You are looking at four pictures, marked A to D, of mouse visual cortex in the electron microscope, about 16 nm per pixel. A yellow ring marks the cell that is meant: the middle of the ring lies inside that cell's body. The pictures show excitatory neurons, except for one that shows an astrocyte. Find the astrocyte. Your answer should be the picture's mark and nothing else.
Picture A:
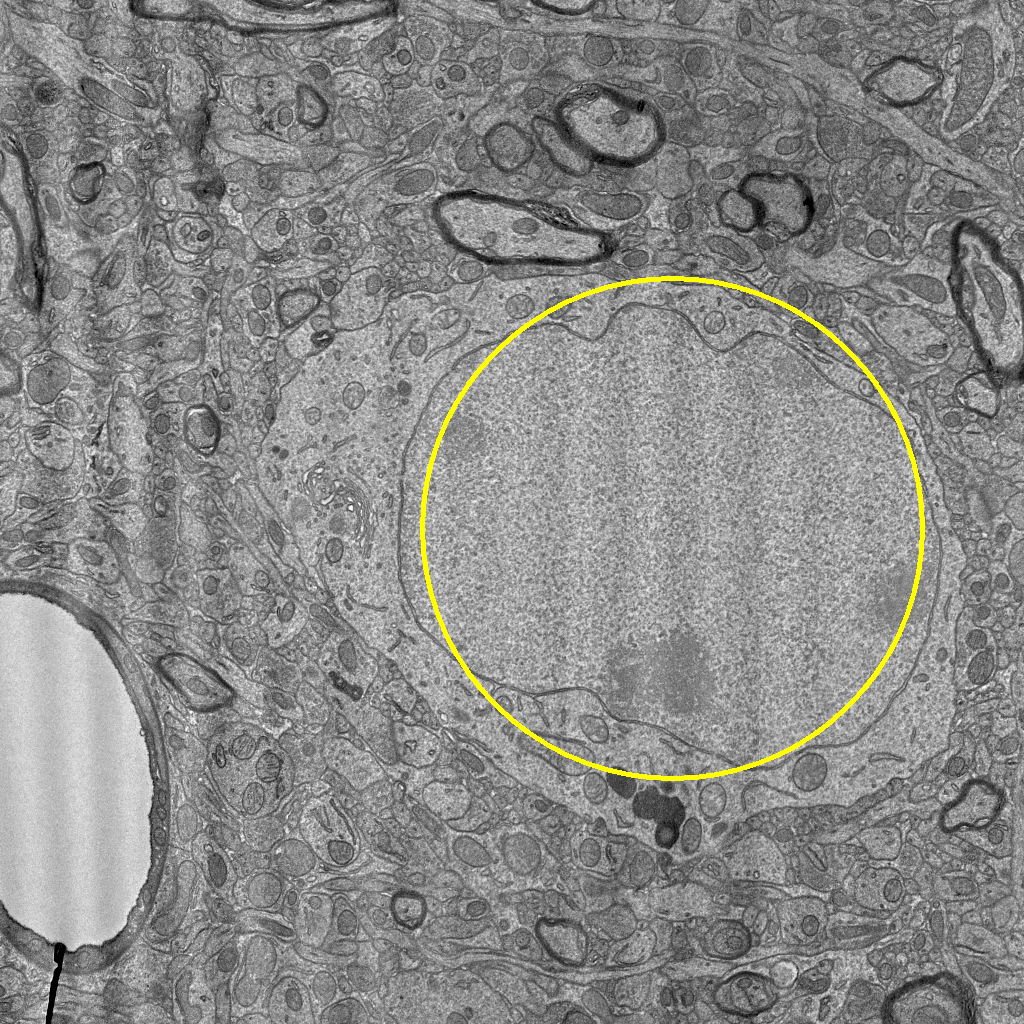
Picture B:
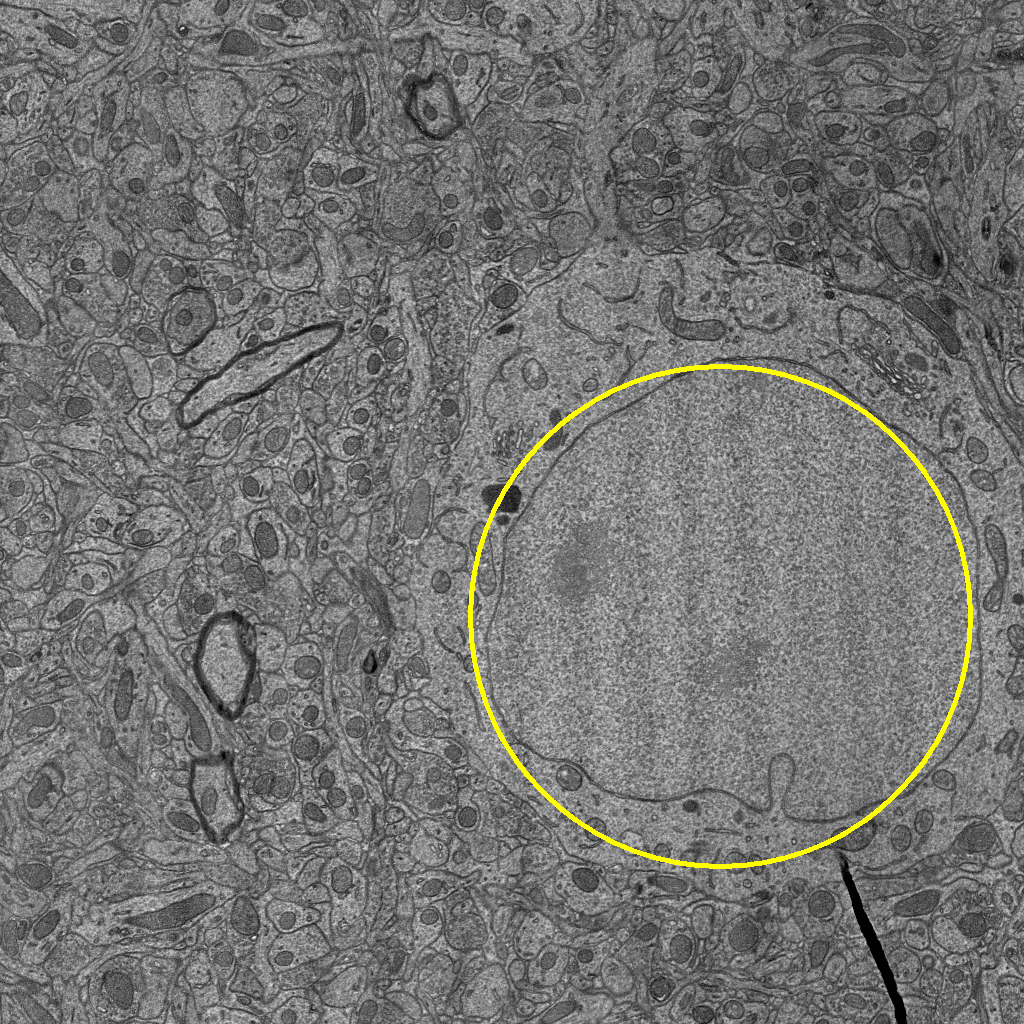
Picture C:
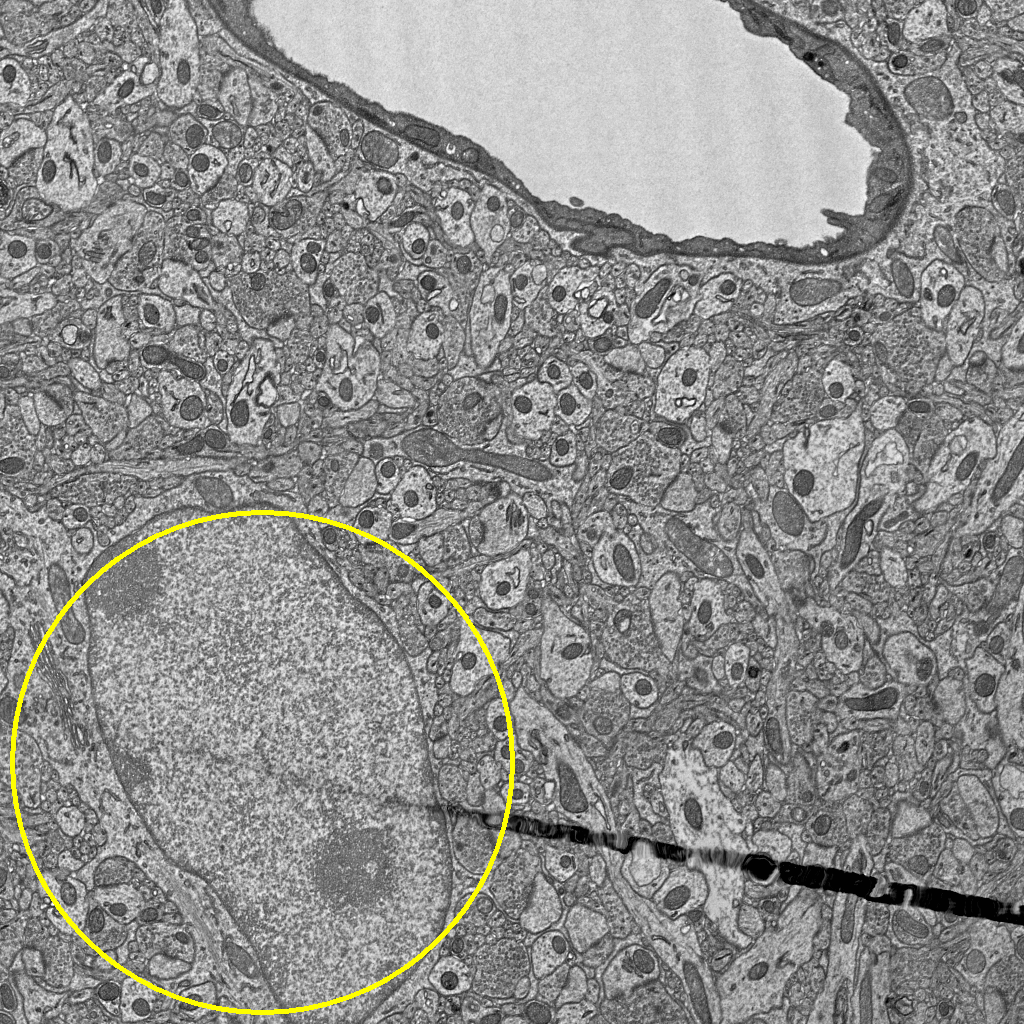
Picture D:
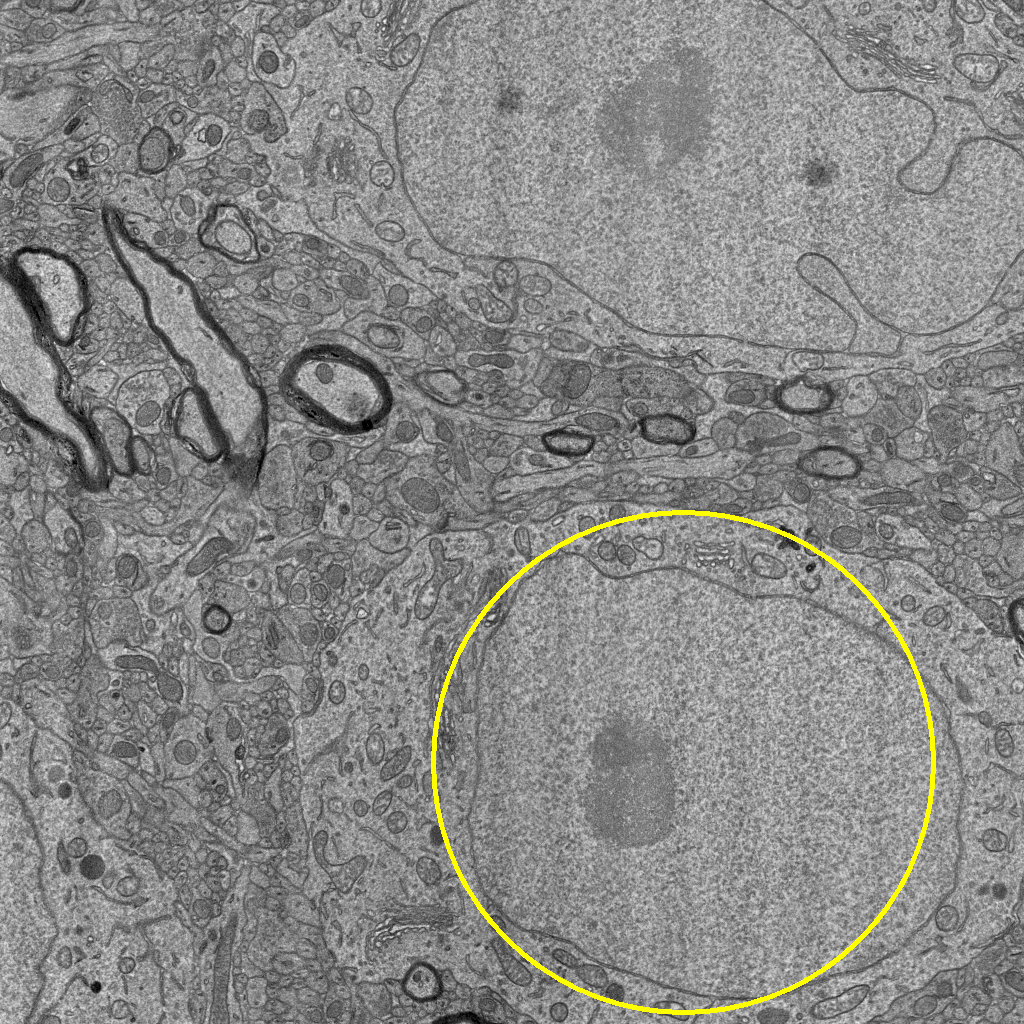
C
